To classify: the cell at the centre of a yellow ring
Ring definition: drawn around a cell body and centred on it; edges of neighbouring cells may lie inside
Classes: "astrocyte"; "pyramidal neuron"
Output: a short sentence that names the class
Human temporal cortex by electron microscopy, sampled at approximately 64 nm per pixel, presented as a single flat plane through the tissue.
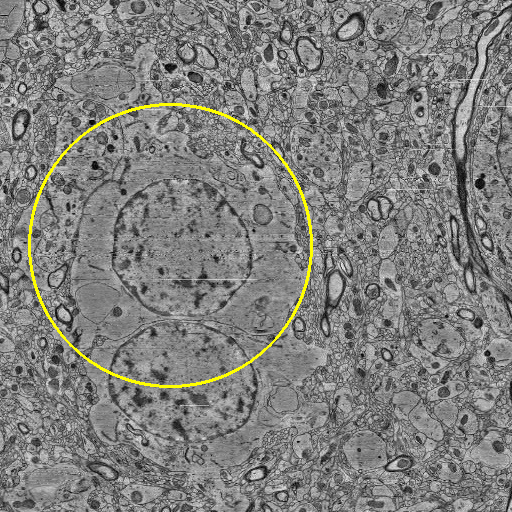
The ringed cell is an astrocyte.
